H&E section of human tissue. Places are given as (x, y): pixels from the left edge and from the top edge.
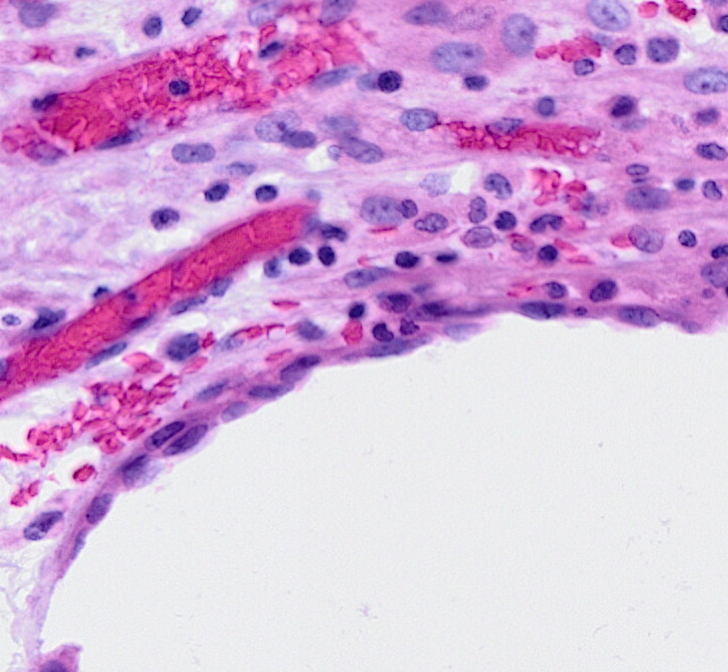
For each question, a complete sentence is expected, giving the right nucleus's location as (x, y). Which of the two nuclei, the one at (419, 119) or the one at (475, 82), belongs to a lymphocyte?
The cell to which the nucleus at (475, 82) belongs is a lymphocyte.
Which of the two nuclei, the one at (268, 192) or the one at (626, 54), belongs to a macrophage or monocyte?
The nucleus at (626, 54) is the one that belongs to a macrophage or monocyte.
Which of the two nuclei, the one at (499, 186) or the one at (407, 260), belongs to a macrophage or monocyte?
The nucleus whose cell is a macrophage or monocyte is the one at (499, 186).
